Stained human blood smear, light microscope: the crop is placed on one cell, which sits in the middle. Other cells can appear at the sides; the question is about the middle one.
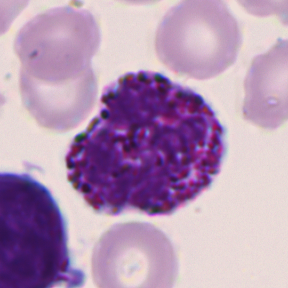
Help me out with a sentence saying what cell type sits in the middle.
Whatever else lies nearby, the middle cell is a basophil.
